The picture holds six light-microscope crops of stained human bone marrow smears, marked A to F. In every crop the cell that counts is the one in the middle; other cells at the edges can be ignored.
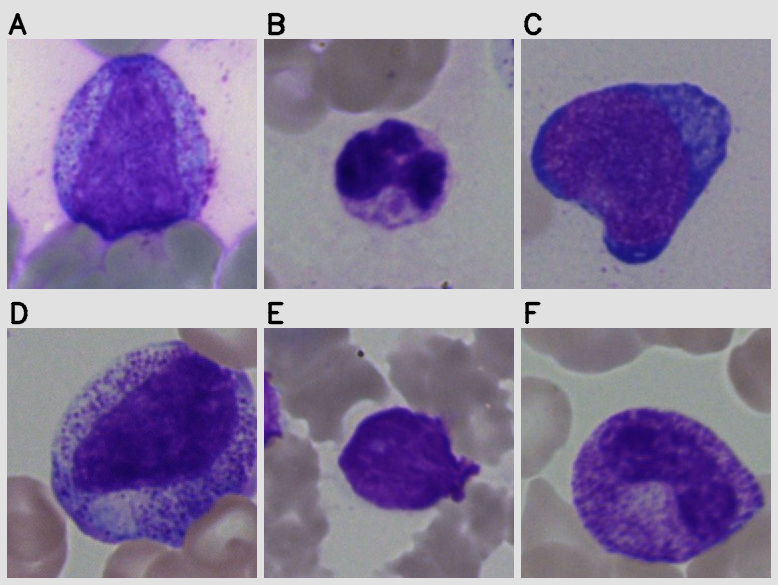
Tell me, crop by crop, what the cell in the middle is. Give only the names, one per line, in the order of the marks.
myelocyte
basophil
proerythroblast
myelocyte
lymphocyte
band neutrophil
